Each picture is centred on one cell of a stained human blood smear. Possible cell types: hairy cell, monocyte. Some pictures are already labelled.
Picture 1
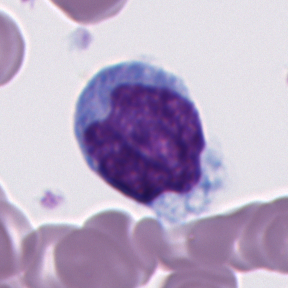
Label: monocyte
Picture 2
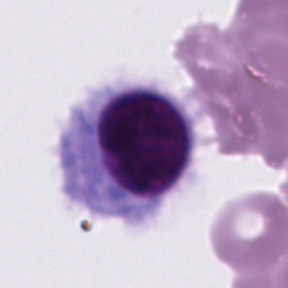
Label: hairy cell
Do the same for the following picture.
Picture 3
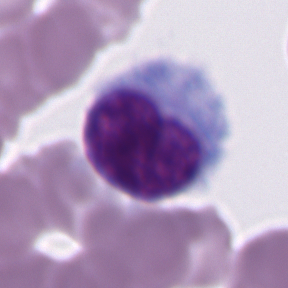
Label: hairy cell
